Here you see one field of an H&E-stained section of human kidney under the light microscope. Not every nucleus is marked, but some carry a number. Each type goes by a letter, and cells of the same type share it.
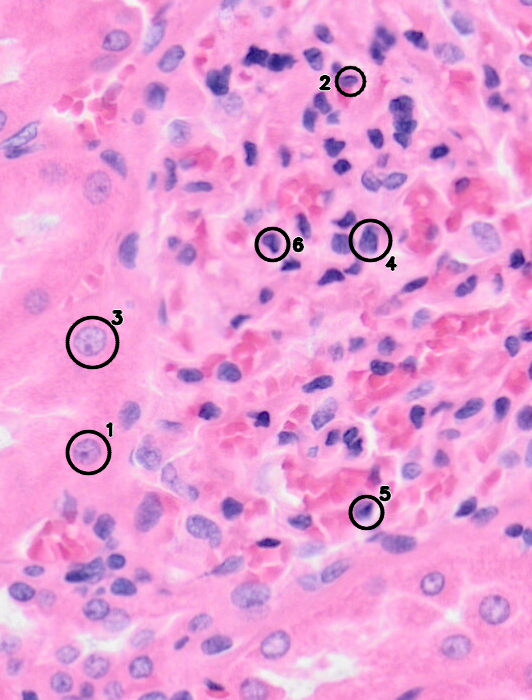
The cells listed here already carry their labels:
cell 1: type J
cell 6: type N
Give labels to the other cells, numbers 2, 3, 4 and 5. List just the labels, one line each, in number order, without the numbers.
type N
type J
type N
type N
